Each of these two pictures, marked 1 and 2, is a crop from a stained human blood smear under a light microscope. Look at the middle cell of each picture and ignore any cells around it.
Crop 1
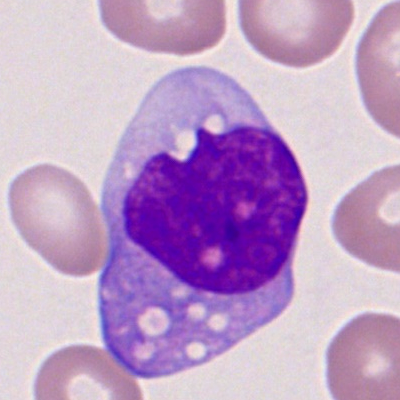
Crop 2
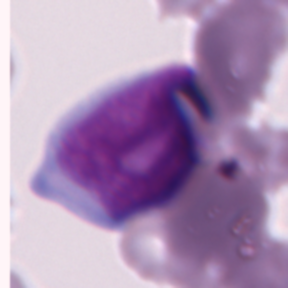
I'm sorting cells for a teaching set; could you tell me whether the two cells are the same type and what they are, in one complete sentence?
No, a monocyte is the subject of crop 1, and a blast is the subject of crop 2.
